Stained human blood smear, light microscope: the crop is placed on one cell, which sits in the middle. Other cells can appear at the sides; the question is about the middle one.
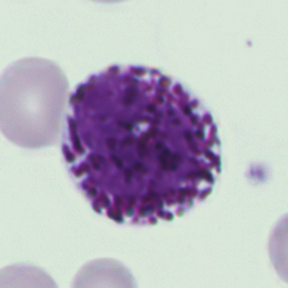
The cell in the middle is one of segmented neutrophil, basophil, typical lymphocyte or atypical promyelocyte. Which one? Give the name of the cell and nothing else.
basophil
